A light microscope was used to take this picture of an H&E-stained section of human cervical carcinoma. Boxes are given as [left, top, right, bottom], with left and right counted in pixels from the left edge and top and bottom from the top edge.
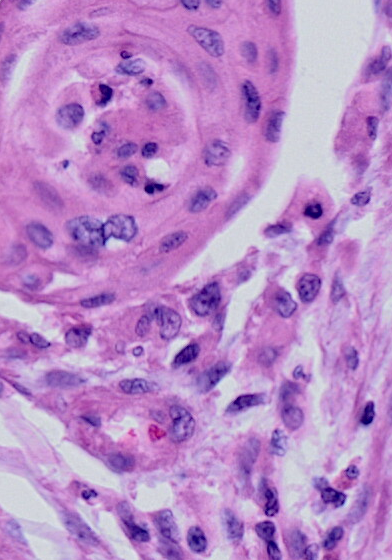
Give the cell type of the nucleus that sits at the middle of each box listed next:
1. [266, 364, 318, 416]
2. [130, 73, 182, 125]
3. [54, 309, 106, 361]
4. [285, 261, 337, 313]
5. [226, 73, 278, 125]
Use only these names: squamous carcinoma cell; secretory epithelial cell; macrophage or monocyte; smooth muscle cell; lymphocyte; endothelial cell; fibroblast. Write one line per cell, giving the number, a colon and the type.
1: macrophage or monocyte
2: squamous carcinoma cell
3: macrophage or monocyte
4: macrophage or monocyte
5: squamous carcinoma cell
